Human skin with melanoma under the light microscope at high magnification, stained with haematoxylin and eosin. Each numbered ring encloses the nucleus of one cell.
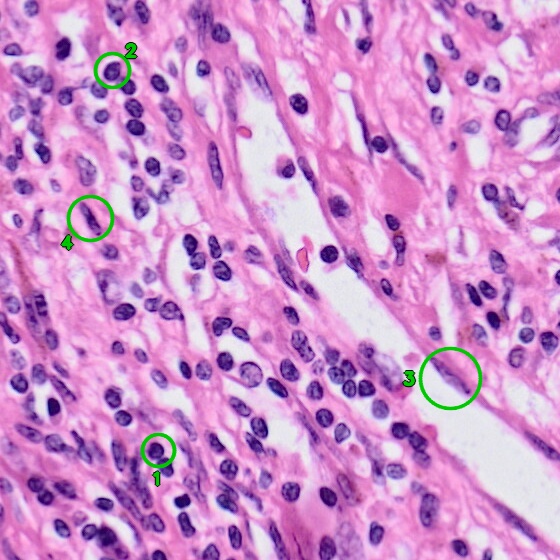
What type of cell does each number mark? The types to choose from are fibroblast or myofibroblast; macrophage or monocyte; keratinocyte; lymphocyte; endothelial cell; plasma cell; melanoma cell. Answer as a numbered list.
1. lymphocyte
2. lymphocyte
3. endothelial cell
4. lymphocyte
